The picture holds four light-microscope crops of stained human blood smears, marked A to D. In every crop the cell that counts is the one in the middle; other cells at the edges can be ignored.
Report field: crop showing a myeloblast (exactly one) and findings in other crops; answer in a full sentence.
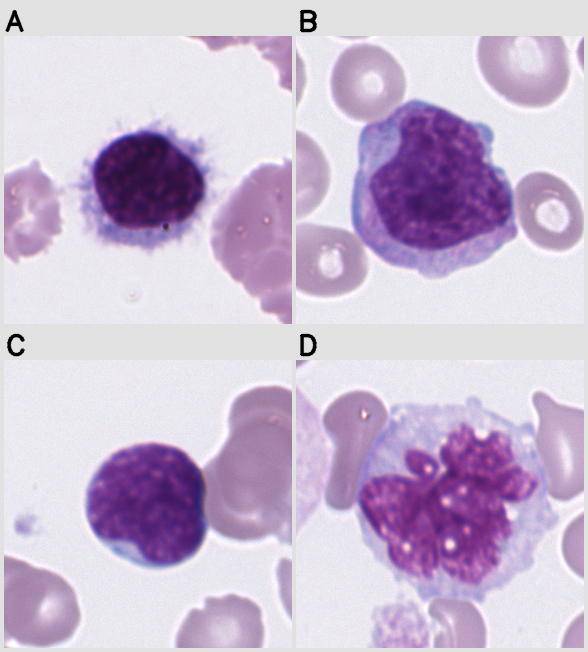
Concerning crop C, the cell shown is a myeloblast, whereas crop A is a hairy cell, crop B is an atypical promyelocyte and crop D is a monocyte.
